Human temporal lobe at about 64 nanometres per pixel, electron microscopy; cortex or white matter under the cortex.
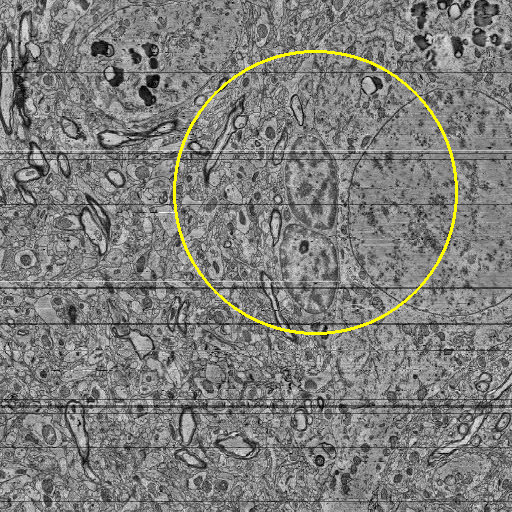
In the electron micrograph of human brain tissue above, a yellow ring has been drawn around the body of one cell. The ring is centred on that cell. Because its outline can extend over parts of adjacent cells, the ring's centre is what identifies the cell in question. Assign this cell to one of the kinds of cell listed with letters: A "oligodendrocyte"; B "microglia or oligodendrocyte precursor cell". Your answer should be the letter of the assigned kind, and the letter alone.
A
